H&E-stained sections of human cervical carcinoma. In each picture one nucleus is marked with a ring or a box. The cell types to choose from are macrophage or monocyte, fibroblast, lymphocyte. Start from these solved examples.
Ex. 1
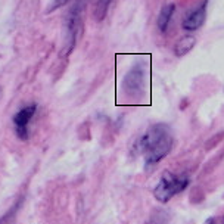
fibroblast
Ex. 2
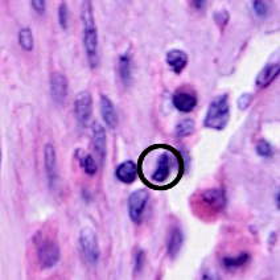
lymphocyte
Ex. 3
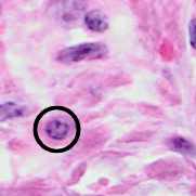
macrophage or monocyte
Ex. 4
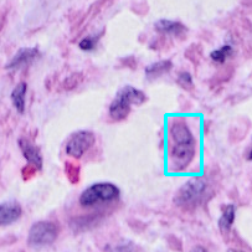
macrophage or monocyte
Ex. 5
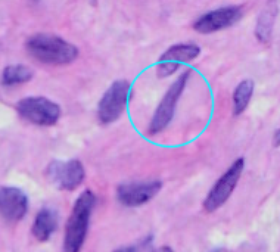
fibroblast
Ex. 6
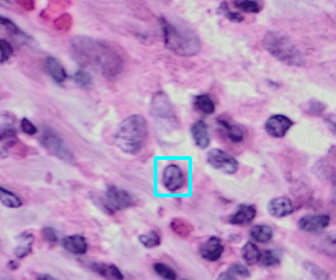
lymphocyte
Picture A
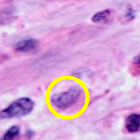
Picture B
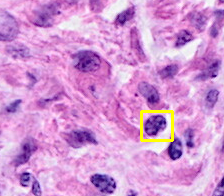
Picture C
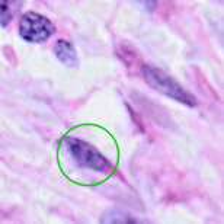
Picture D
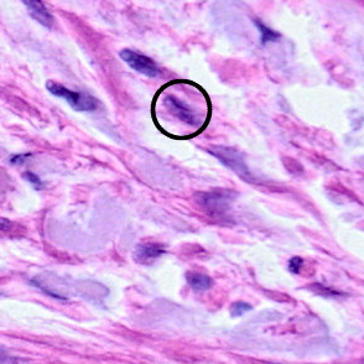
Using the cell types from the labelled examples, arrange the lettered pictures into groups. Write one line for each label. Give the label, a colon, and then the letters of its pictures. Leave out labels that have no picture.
macrophage or monocyte: A
fibroblast: C, D
lymphocyte: B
